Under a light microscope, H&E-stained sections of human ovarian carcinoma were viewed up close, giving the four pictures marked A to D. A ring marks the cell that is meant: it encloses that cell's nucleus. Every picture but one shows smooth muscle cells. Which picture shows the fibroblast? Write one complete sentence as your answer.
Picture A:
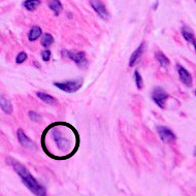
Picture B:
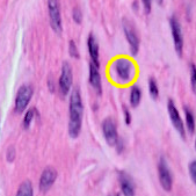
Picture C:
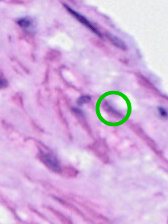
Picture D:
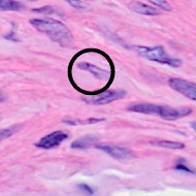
The cell in picture C is the fibroblast.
